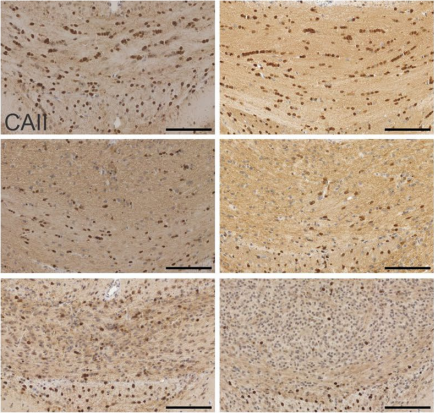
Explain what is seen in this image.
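In the top images these brown cells are plentiful and lie in rows between the pale, streaming nerve fibres. In the bottom images the tract is crowded with many small bluish nuclei, while only scattered brown cells are left, most sparsely in the right-hand image.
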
